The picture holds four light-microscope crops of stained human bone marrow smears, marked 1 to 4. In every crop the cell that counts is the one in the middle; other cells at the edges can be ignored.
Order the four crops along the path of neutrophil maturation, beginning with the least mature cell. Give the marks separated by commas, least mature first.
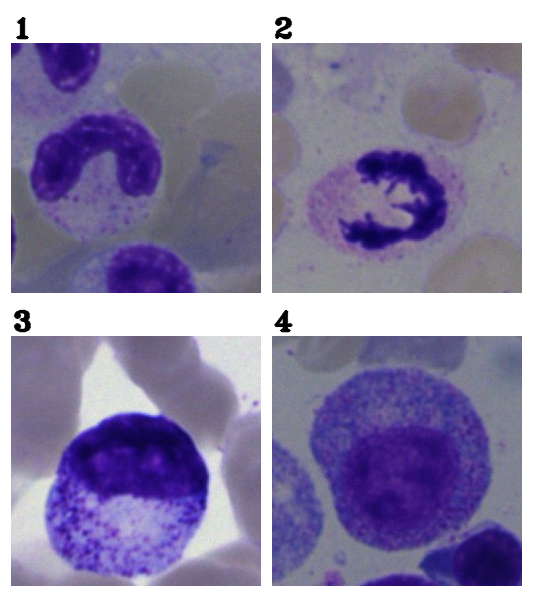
3, 4, 1, 2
